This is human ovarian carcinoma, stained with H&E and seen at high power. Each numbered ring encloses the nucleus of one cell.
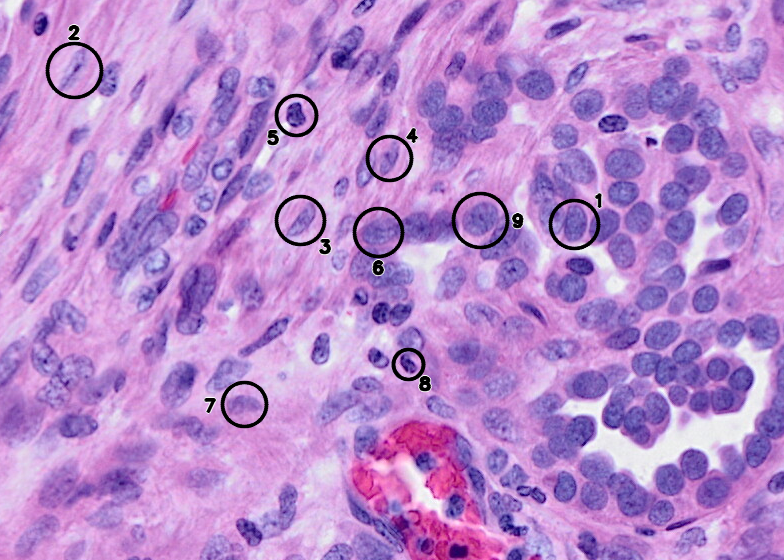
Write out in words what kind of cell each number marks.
Cell 1 is a carcinoma cell, cell 2 is a fibroblast, cell 3 is a fibroblast, cell 4 is a fibroblast, cell 5 is a lymphocyte, cell 6 is a carcinoma cell, cell 7 is a fibroblast, cell 8 is a lymphocyte and cell 9 is a carcinoma cell.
